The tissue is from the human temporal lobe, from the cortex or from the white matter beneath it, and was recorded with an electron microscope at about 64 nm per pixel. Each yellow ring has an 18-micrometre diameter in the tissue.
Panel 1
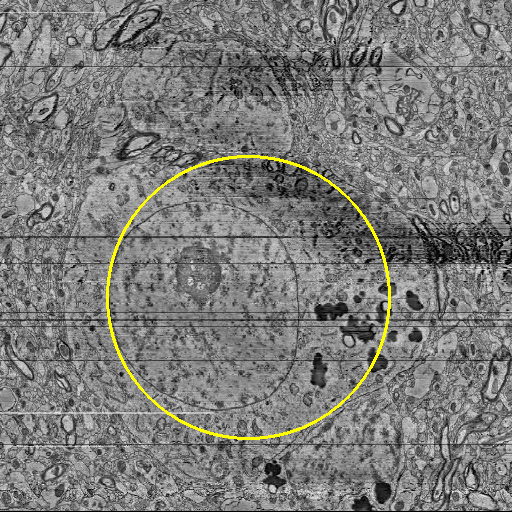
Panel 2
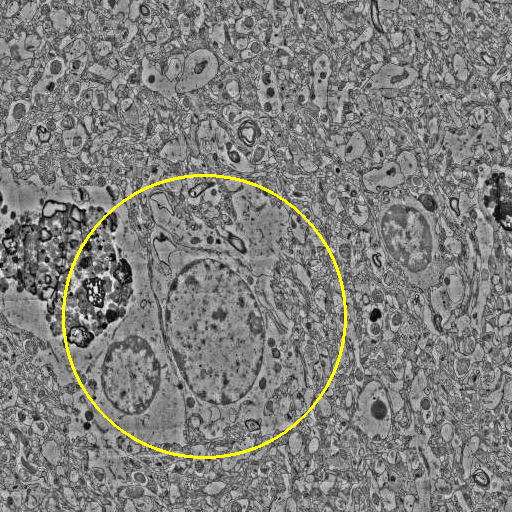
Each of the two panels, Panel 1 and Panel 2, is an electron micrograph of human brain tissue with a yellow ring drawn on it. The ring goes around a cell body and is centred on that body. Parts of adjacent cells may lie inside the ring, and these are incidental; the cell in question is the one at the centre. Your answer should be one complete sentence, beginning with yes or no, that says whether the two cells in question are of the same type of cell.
No, the two cells are of two types.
